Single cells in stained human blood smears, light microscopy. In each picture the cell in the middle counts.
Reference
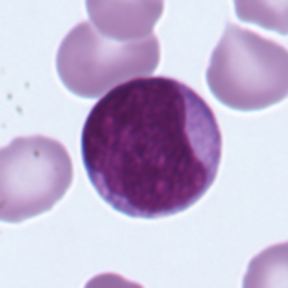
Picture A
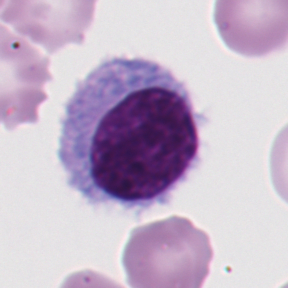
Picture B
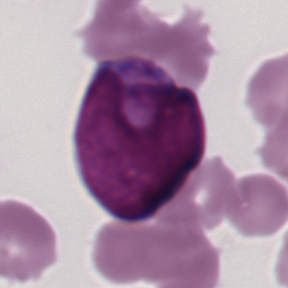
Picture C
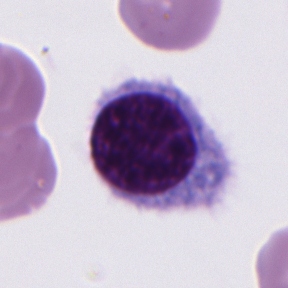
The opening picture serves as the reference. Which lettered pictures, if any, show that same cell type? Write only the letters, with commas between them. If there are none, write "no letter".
B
